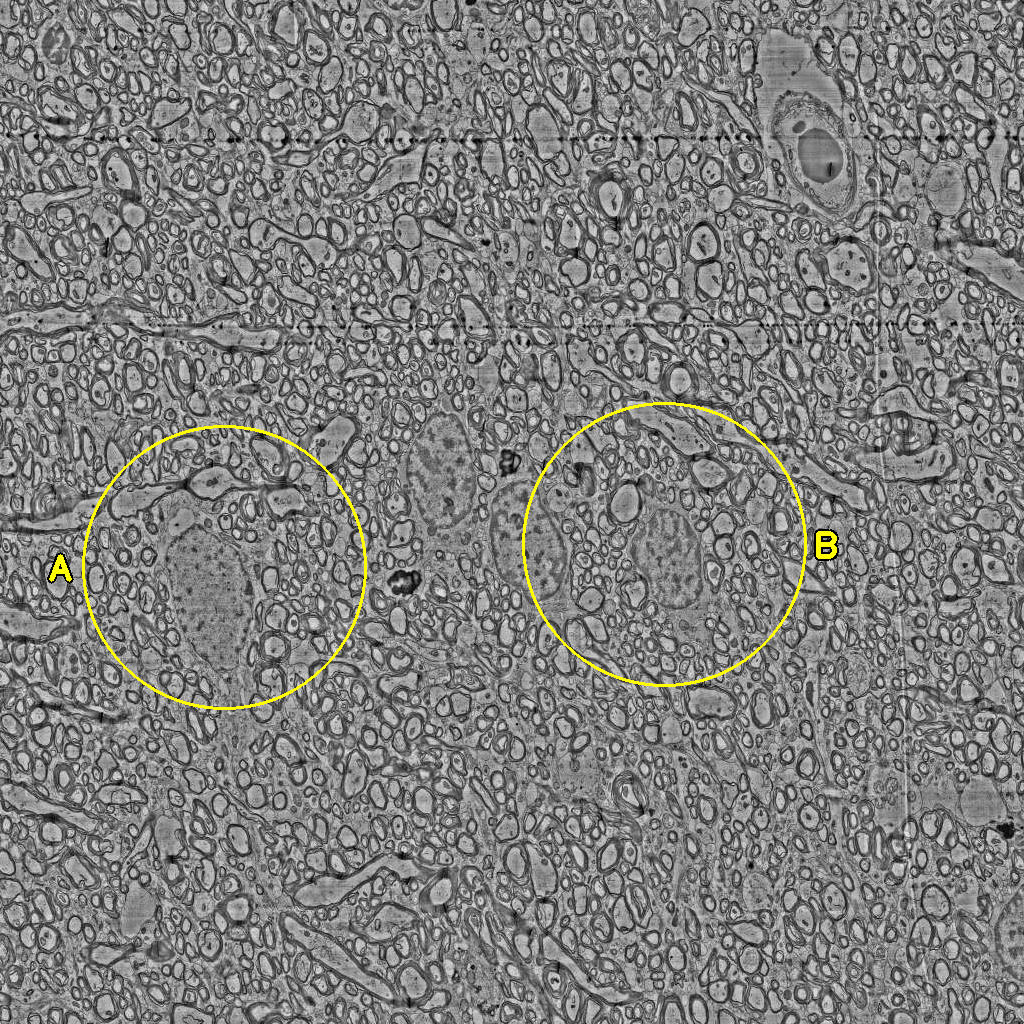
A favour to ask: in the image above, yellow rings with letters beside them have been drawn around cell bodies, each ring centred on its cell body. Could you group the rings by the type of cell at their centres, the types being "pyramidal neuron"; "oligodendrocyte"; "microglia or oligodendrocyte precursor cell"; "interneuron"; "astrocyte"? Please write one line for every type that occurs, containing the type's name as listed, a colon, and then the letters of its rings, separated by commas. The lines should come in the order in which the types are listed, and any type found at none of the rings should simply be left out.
oligodendrocyte: B
astrocyte: A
